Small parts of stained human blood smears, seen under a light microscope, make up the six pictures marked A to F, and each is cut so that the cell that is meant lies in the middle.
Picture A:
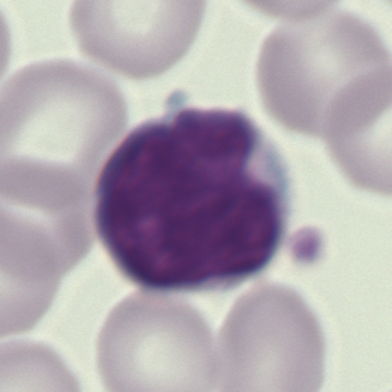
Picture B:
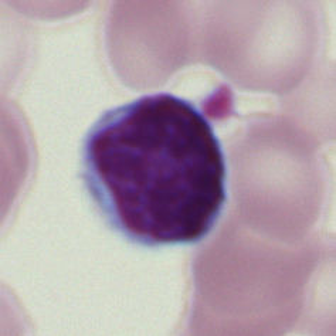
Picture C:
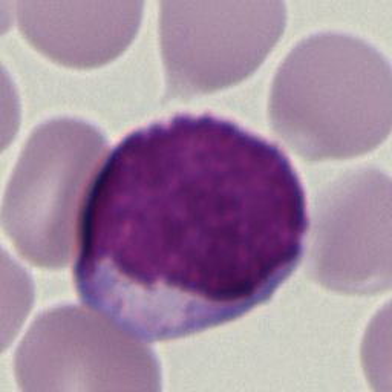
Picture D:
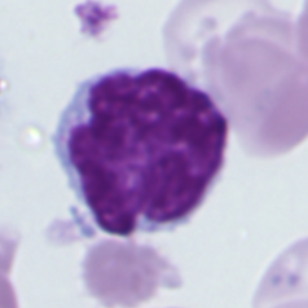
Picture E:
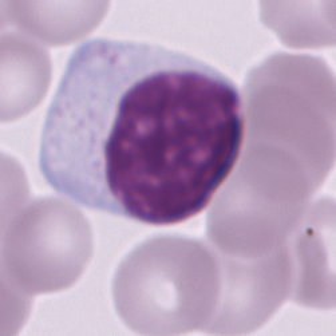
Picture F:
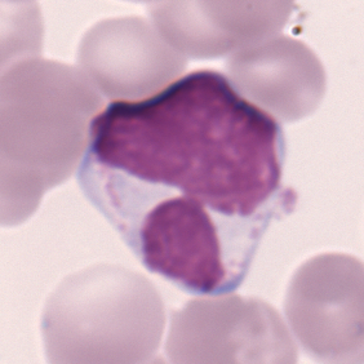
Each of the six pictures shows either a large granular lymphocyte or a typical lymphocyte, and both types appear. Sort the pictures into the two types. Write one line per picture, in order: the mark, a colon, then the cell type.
A: typical lymphocyte
B: typical lymphocyte
C: large granular lymphocyte
D: typical lymphocyte
E: large granular lymphocyte
F: large granular lymphocyte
